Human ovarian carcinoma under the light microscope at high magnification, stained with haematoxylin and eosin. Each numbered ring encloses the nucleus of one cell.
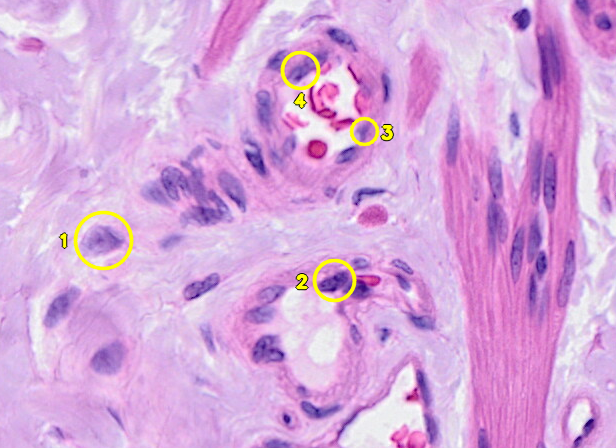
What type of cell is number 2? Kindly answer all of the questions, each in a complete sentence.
In the tissue shown, cell 2 is an endothelial cell.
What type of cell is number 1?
The cell that goes by number 1 is a fibroblast.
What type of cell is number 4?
It is as an endothelial cell that the cell numbered 4 is identified.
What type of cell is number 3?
The cell that bears the number 3 is an endothelial cell.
